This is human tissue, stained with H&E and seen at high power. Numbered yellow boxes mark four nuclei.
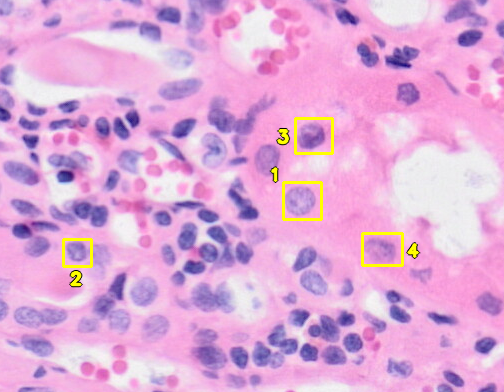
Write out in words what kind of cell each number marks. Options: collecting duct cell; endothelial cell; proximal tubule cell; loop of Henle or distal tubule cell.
Cell 1 is a proximal tubule cell, cell 2 is a collecting duct cell, cell 3 is a proximal tubule cell and cell 4 is a proximal tubule cell.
